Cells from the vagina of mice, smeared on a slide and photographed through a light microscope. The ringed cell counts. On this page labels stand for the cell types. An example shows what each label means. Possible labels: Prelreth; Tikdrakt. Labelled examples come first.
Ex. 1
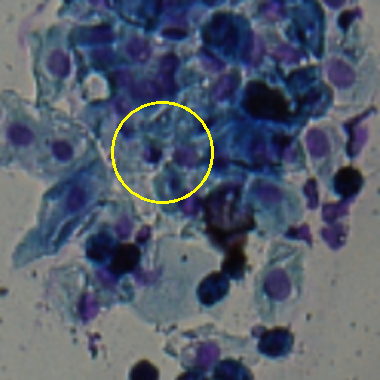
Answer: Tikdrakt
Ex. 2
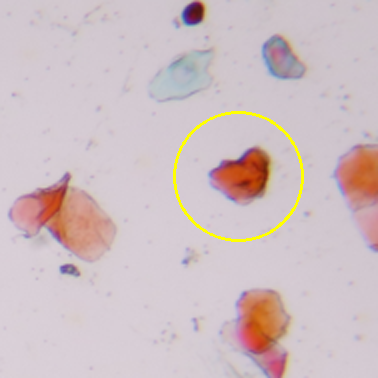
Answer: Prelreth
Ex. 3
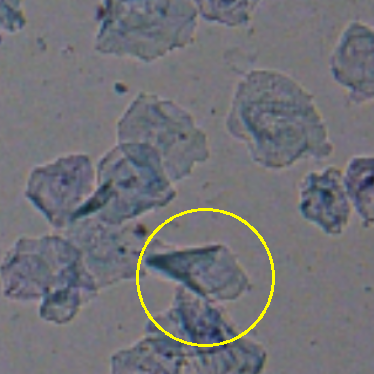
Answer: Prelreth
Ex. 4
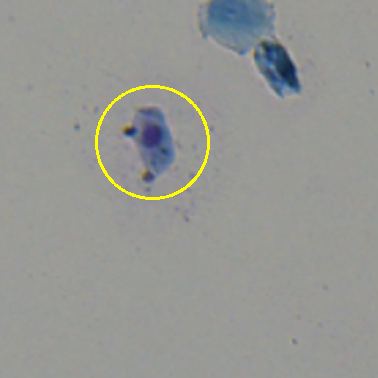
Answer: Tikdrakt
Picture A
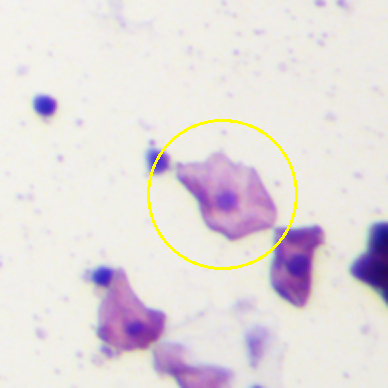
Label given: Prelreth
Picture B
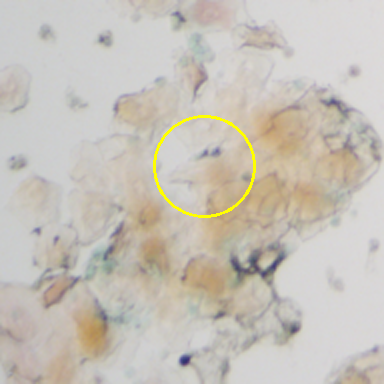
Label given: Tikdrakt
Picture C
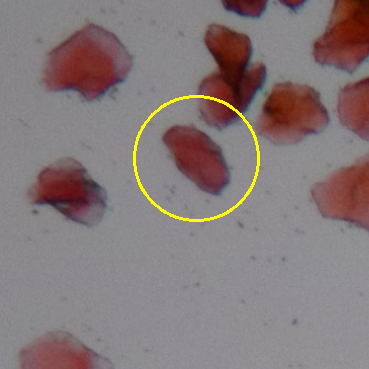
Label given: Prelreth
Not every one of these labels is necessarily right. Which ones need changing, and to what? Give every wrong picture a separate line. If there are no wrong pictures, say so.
Wrong: A (Prelreth); correct: Tikdrakt
Wrong: B (Tikdrakt); correct: Prelreth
